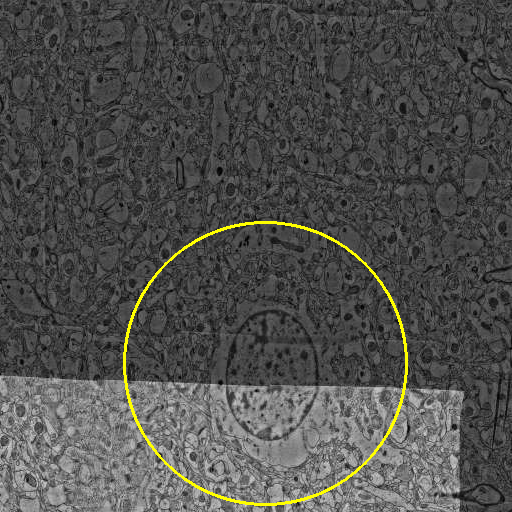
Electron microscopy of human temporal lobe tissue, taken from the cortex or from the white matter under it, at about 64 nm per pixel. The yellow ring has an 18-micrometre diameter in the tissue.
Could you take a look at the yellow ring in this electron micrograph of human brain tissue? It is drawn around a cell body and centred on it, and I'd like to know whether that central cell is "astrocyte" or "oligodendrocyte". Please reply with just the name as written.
astrocyte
